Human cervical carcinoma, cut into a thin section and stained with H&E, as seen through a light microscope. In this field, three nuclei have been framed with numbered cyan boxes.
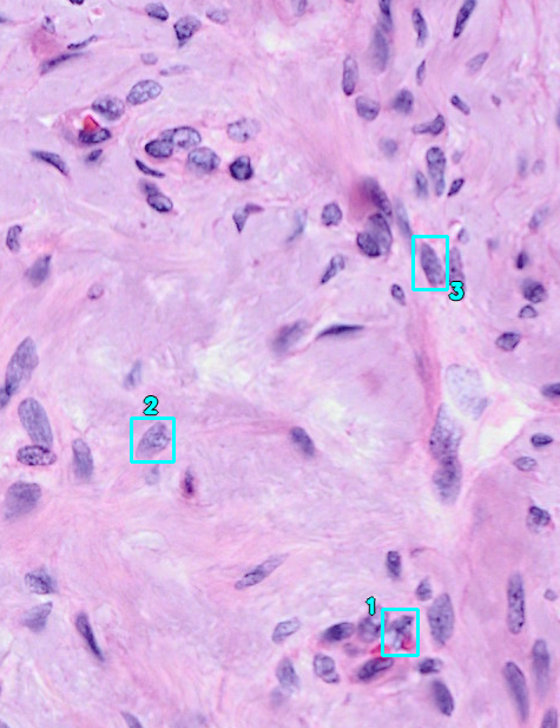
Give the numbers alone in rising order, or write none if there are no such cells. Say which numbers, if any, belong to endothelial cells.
1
